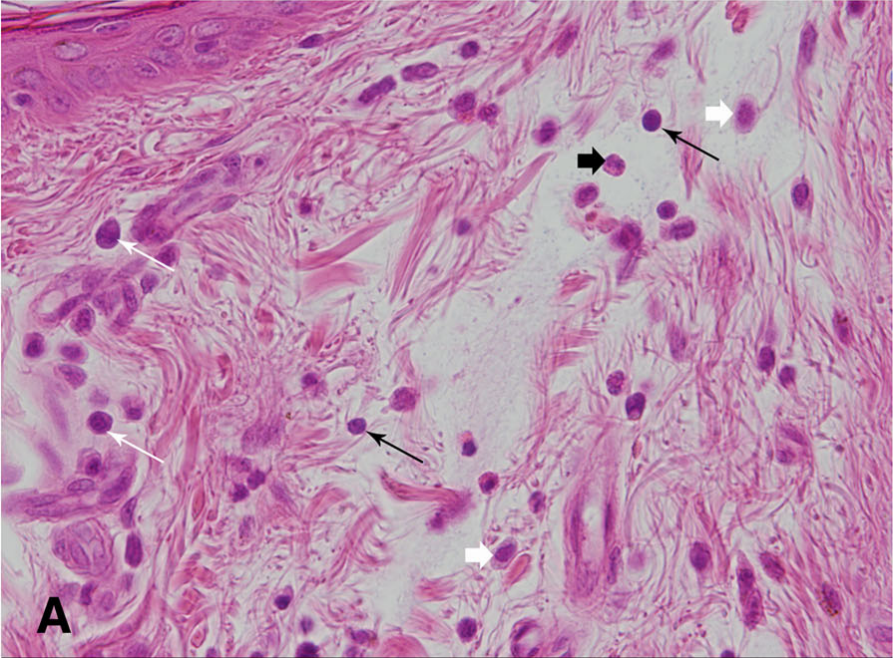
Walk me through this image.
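This is skin with the epidermis at the upper left and a loose, pale upper dermis below it, diffusely infiltrated by inflammatory cells that also gather around small vessels. Many of the infiltrating cells are lymphocytes, small and round with a dense dark purple nucleus and scant cytoplasm. Plasma cells are present, oval with a round nucleus placed to one side and a rim of purplish cytoplasm. A few granulocytes with pink cytoplasm and cells with granular cytoplasm lie among them. The collagen fibres between the cells appear as thin, loosely arranged pink strands separated by pale, clear spaces.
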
